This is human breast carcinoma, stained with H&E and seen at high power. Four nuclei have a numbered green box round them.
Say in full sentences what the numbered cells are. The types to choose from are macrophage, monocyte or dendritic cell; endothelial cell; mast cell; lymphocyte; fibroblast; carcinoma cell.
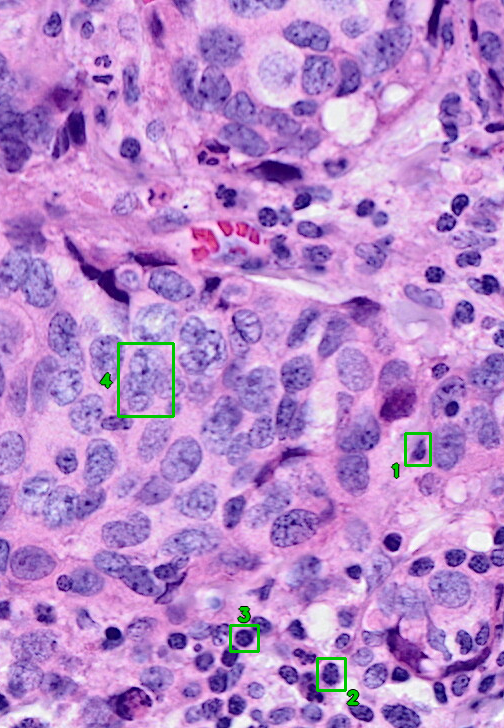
Cell 1 is a lymphocyte, cell 2 is a lymphocyte, cell 3 is a lymphocyte and cell 4 is a carcinoma cell.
